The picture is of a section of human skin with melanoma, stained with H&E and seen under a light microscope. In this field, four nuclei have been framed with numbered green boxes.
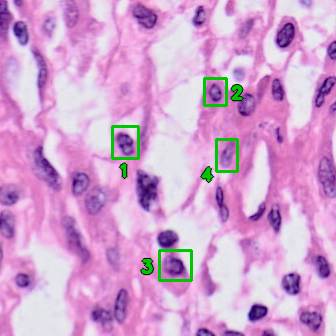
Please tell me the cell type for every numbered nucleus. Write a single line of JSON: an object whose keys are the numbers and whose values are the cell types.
{"1": "lymphocyte", "2": "macrophage or monocyte", "3": "macrophage or monocyte", "4": "macrophage or monocyte"}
